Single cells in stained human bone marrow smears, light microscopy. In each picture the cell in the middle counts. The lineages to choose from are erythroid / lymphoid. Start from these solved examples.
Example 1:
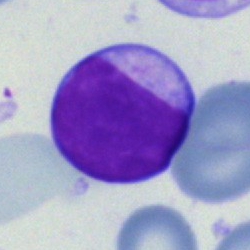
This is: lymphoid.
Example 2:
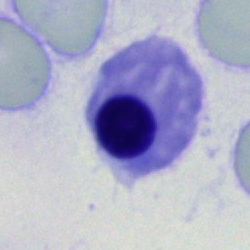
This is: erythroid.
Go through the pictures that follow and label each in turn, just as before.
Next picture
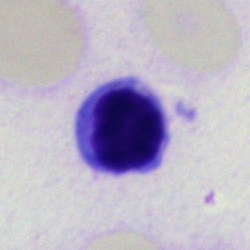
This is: lymphoid.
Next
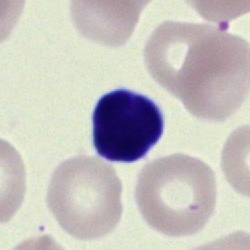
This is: lymphoid.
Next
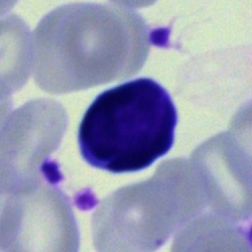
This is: lymphoid.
